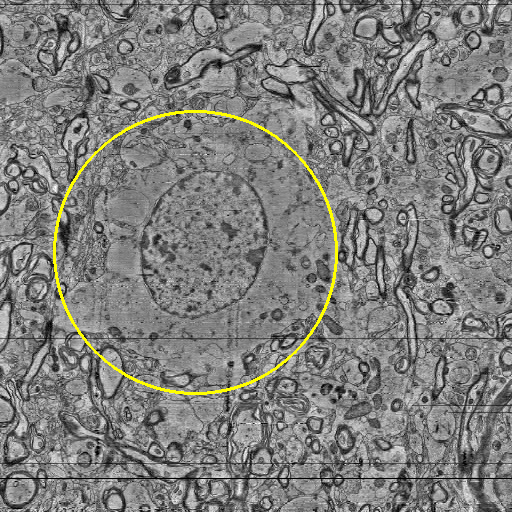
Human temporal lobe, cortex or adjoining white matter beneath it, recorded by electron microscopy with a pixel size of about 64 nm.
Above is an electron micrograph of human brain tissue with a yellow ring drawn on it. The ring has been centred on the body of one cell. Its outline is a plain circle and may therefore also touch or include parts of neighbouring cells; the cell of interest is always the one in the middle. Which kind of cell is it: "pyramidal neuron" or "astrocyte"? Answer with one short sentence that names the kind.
The ring's central cell body is that of an astrocyte.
